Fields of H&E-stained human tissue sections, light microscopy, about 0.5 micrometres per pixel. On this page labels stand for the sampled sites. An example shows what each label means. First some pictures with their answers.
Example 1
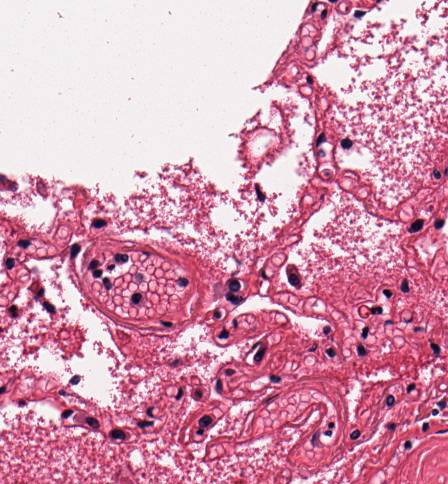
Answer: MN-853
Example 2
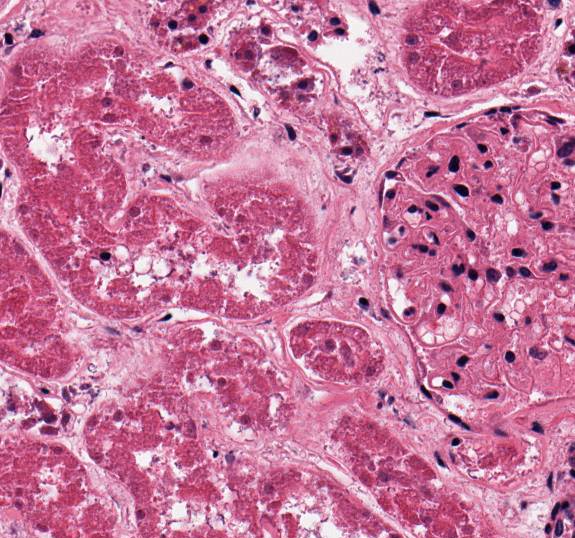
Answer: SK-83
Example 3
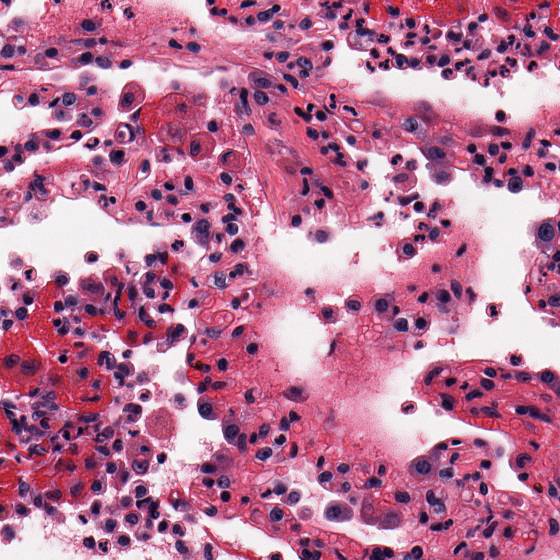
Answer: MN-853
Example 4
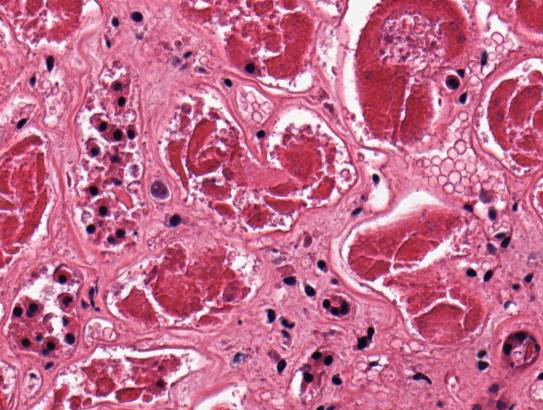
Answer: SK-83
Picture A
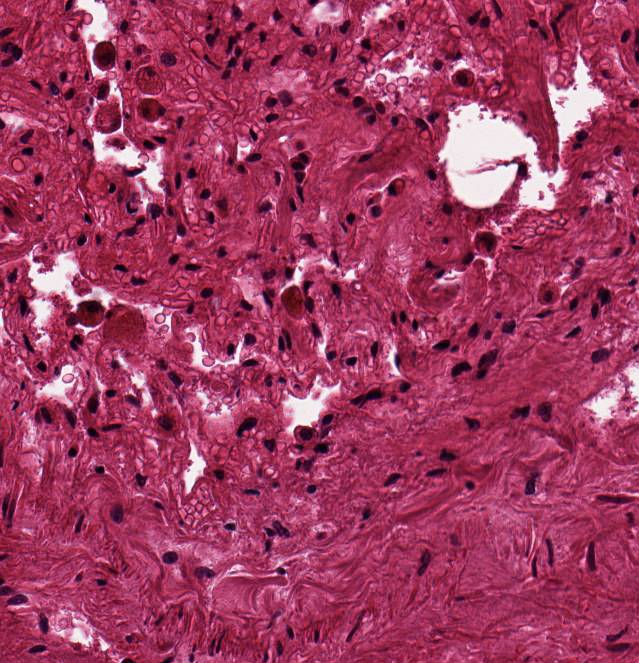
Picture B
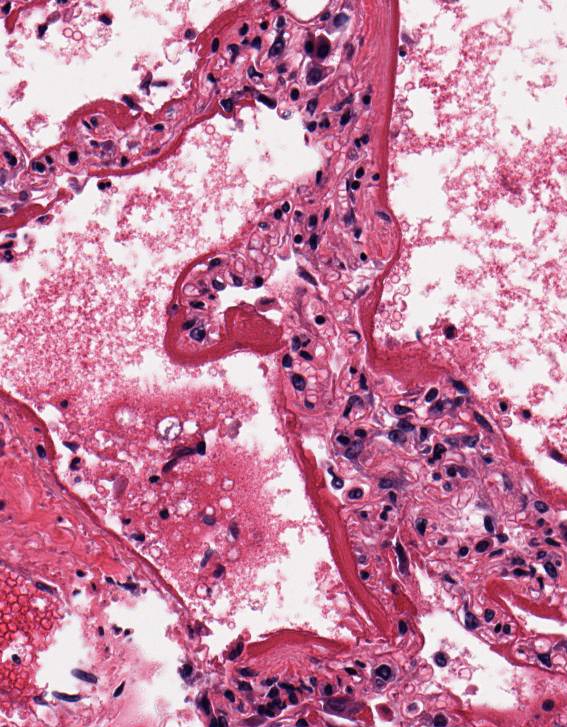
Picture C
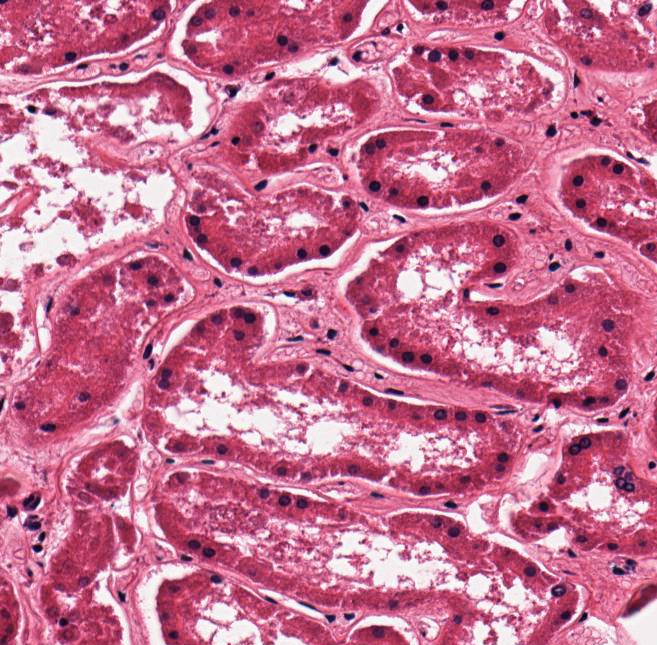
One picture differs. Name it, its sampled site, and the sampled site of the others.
C differs and shows SK-83; the others show MN-853.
